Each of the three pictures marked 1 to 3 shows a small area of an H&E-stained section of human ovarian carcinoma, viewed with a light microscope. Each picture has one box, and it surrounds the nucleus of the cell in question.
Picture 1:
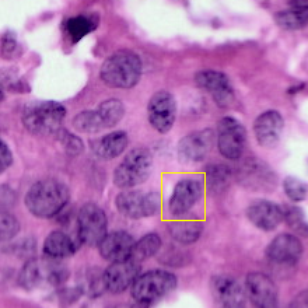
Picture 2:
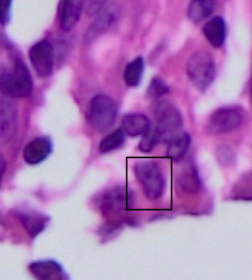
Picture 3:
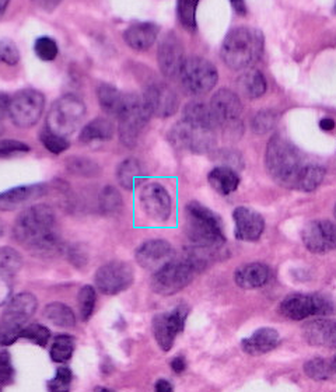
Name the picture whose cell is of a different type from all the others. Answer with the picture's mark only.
2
